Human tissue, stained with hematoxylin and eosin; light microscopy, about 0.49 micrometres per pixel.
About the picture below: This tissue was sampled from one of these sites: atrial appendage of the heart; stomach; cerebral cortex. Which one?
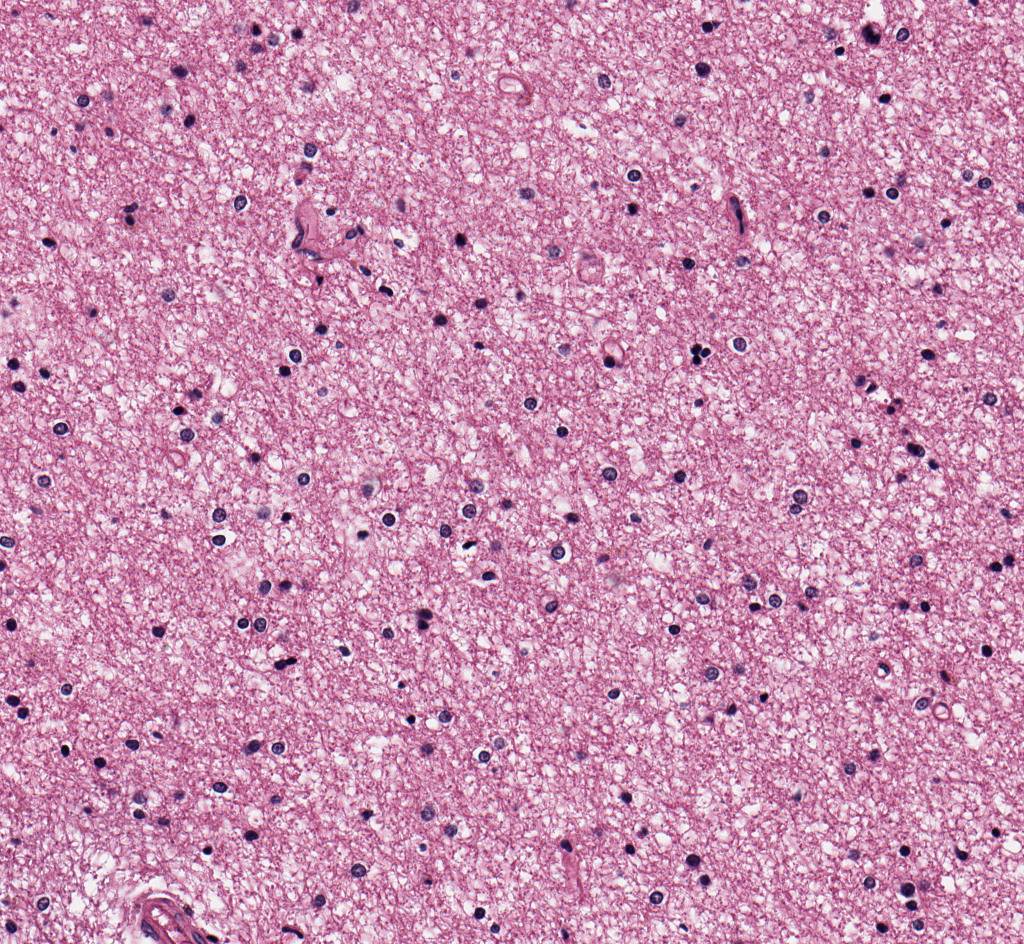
cerebral cortex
